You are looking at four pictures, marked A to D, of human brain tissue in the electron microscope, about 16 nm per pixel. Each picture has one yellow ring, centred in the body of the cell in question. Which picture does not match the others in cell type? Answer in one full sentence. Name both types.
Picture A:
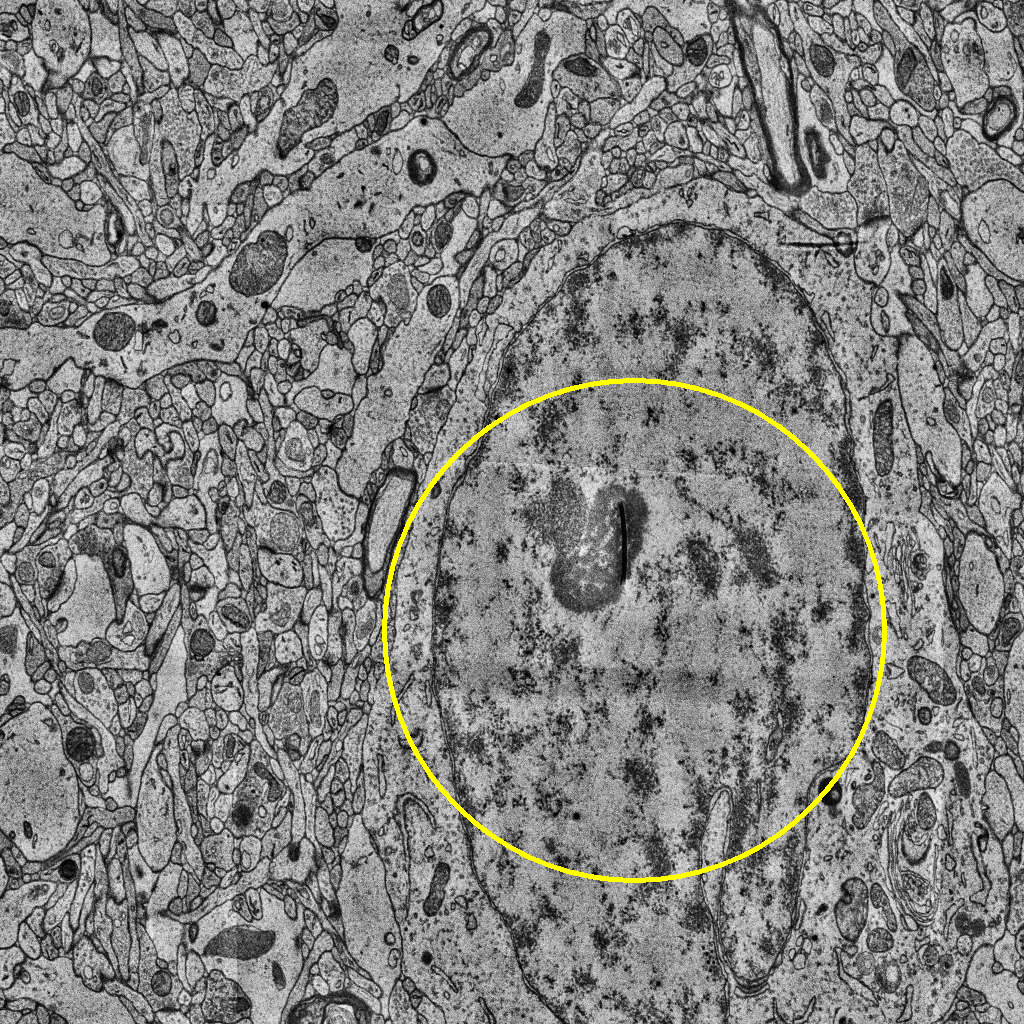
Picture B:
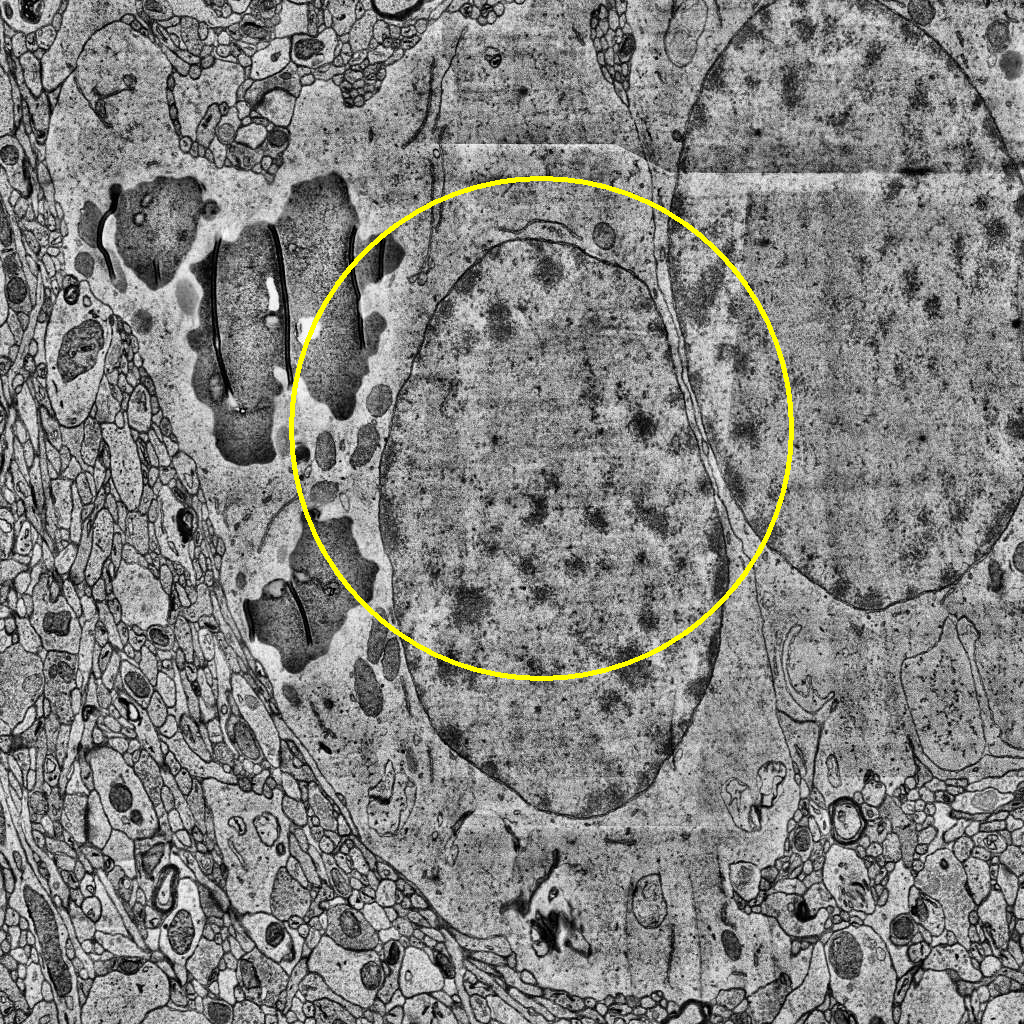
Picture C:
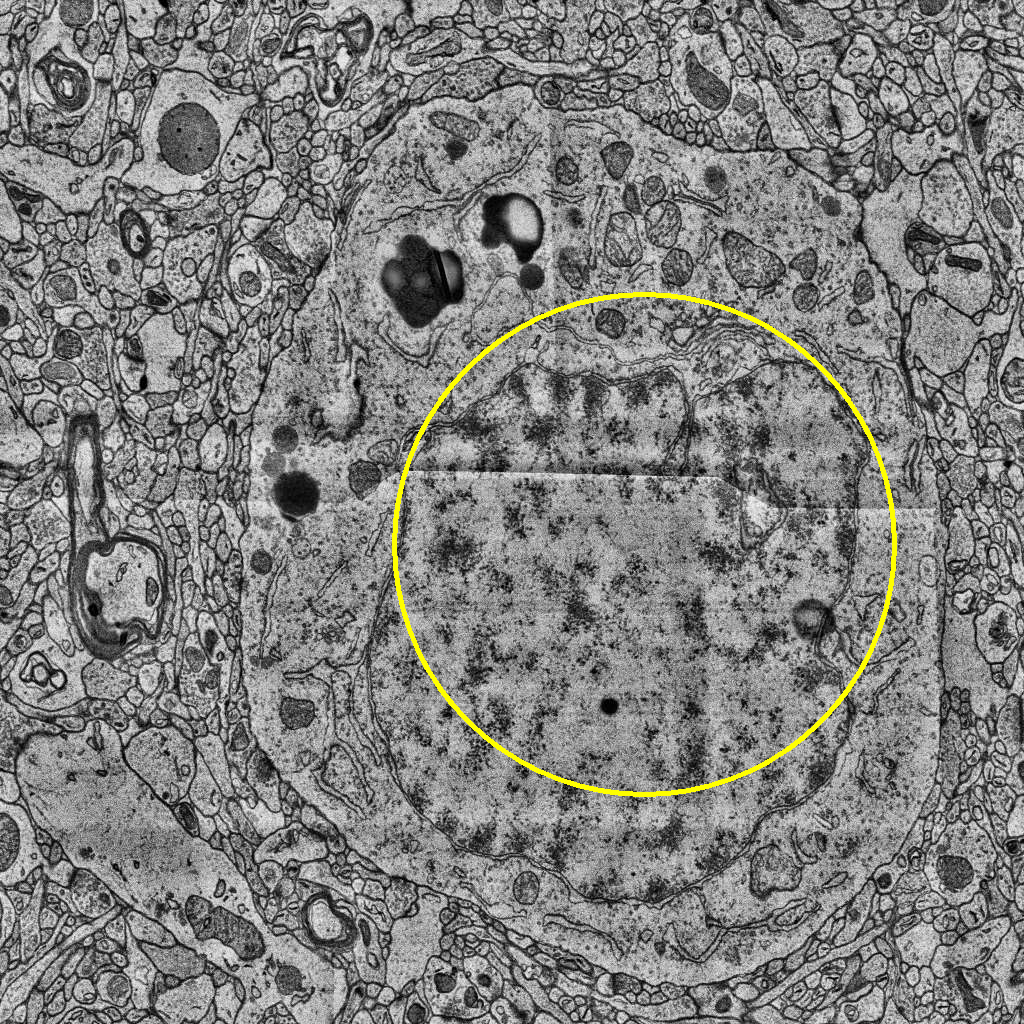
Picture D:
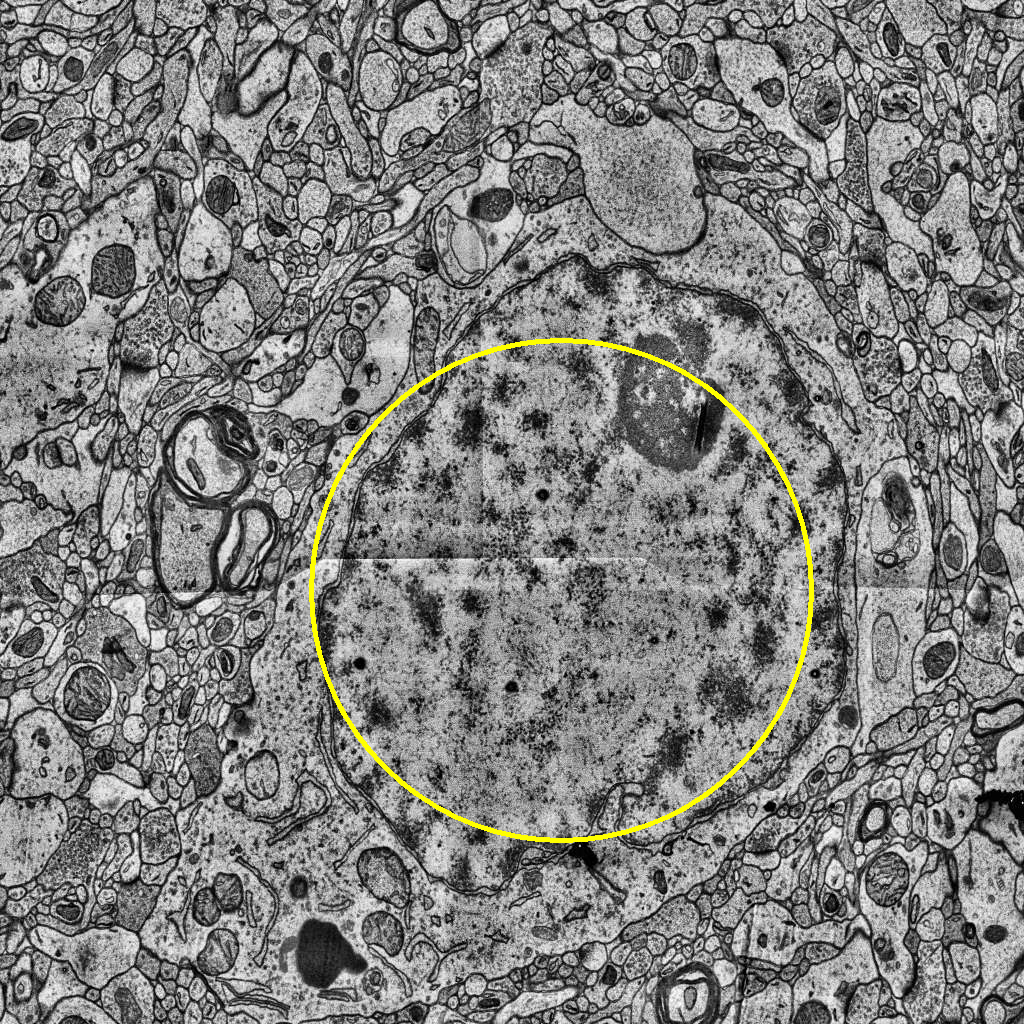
Picture B is the odd one out: it shows an astrocyte, while the others show interneurons.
